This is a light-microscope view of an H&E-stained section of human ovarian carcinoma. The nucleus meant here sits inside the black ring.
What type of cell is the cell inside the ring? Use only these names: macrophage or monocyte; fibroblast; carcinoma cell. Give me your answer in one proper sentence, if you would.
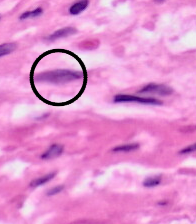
Just put down that the cell inside the ring is a fibroblast.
